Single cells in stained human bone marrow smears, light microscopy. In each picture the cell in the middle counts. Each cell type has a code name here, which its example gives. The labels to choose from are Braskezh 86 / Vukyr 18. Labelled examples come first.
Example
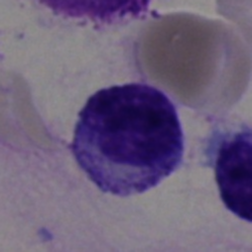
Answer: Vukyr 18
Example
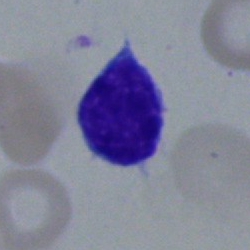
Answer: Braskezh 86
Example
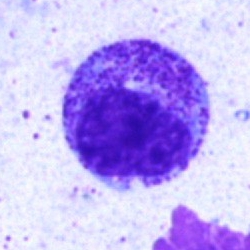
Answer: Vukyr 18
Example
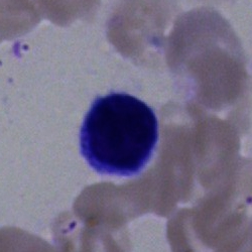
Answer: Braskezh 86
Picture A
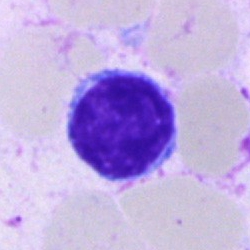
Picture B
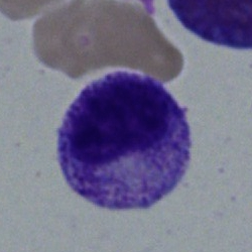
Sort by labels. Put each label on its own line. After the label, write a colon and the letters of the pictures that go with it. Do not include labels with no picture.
Braskezh 86: A
Vukyr 18: B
